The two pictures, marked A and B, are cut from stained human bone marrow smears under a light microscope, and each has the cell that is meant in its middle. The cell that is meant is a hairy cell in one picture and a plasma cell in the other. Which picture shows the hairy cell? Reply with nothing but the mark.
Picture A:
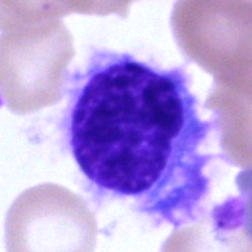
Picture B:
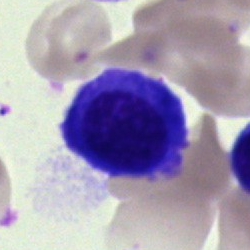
A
